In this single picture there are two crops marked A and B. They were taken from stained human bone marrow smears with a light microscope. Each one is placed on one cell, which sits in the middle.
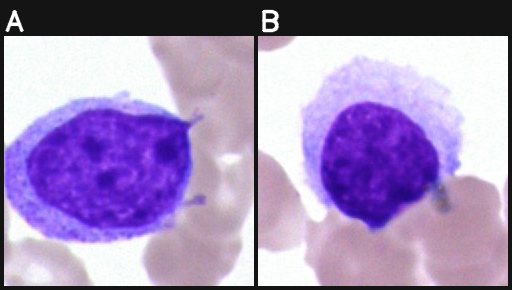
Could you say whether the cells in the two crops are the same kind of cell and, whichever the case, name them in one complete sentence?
No, crop A carries a blast and crop B carries a hairy cell.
